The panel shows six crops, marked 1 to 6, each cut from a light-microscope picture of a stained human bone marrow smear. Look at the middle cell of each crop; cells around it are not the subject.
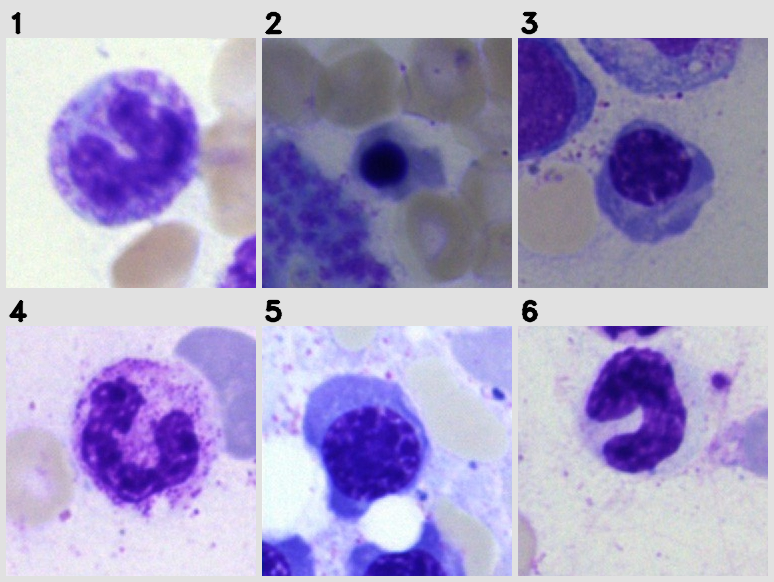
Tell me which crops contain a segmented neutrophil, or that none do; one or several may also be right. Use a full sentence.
In this series, crop 4 is the only crop to contain a segmented neutrophil.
